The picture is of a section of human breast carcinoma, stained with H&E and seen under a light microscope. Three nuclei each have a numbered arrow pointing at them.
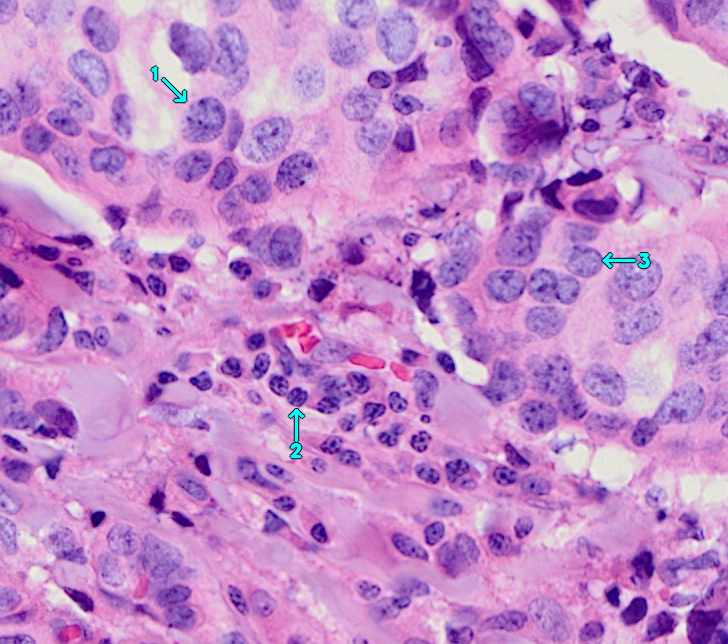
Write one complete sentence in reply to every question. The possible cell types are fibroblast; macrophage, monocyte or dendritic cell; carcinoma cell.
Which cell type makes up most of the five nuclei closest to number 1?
The majority of the five nuclei closest to number 1 belong to carcinoma cells.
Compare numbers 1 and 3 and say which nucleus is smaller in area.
Number 3 is smaller, since number 1 takes up about 1.5 times as much area.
